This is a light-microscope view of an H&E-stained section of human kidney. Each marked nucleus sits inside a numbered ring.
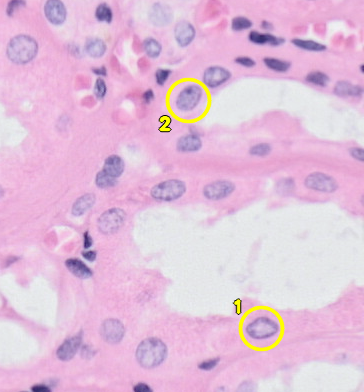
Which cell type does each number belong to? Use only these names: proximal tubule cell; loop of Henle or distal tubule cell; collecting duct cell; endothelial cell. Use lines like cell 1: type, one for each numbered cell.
cell 1: proximal tubule cell
cell 2: collecting duct cell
